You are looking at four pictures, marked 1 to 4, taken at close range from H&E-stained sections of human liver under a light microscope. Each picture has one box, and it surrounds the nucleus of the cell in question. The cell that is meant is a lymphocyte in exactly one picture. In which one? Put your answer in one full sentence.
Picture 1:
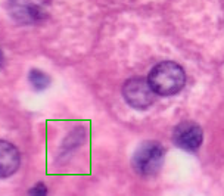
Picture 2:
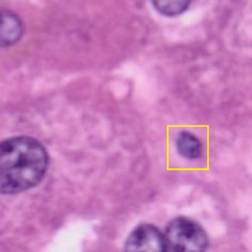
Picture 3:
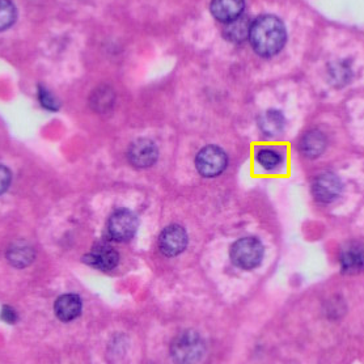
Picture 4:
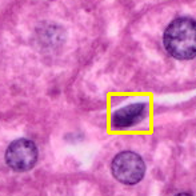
It is picture 2 that shows the lymphocyte.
